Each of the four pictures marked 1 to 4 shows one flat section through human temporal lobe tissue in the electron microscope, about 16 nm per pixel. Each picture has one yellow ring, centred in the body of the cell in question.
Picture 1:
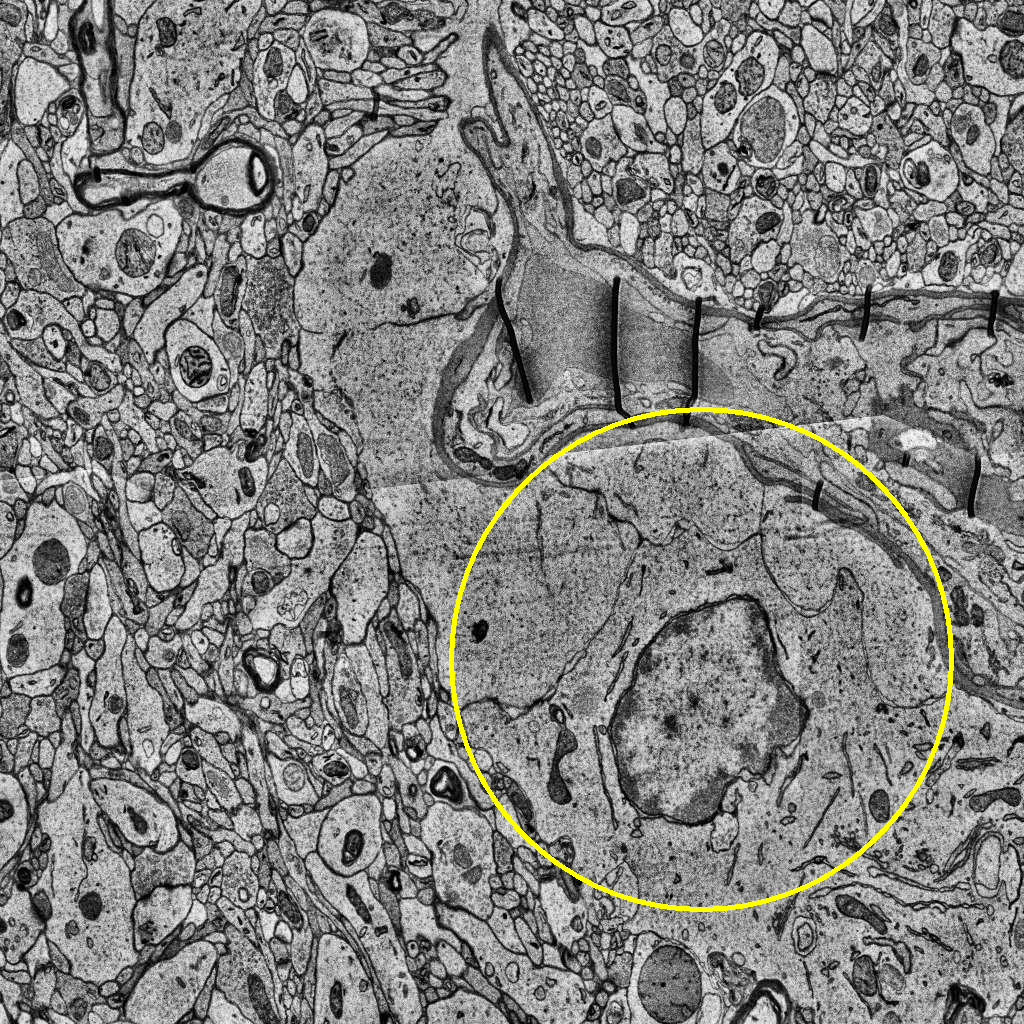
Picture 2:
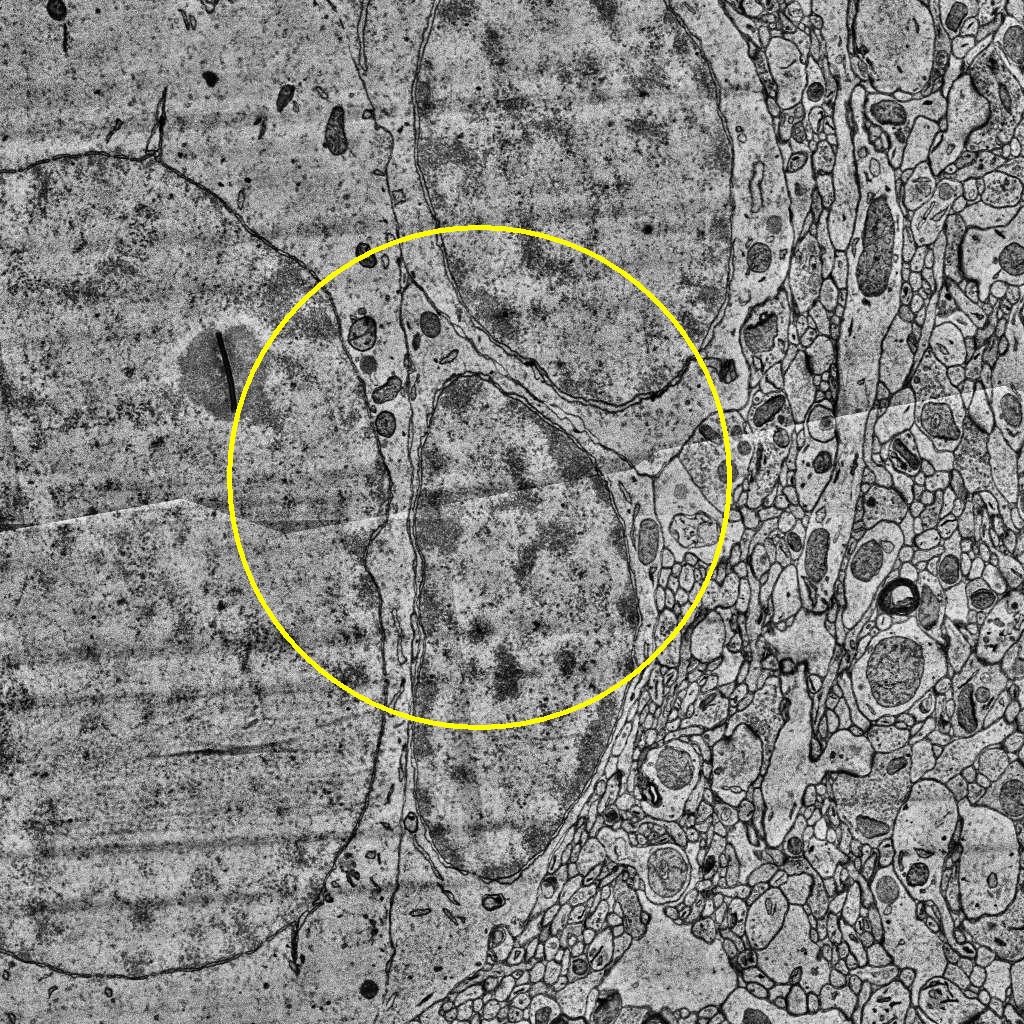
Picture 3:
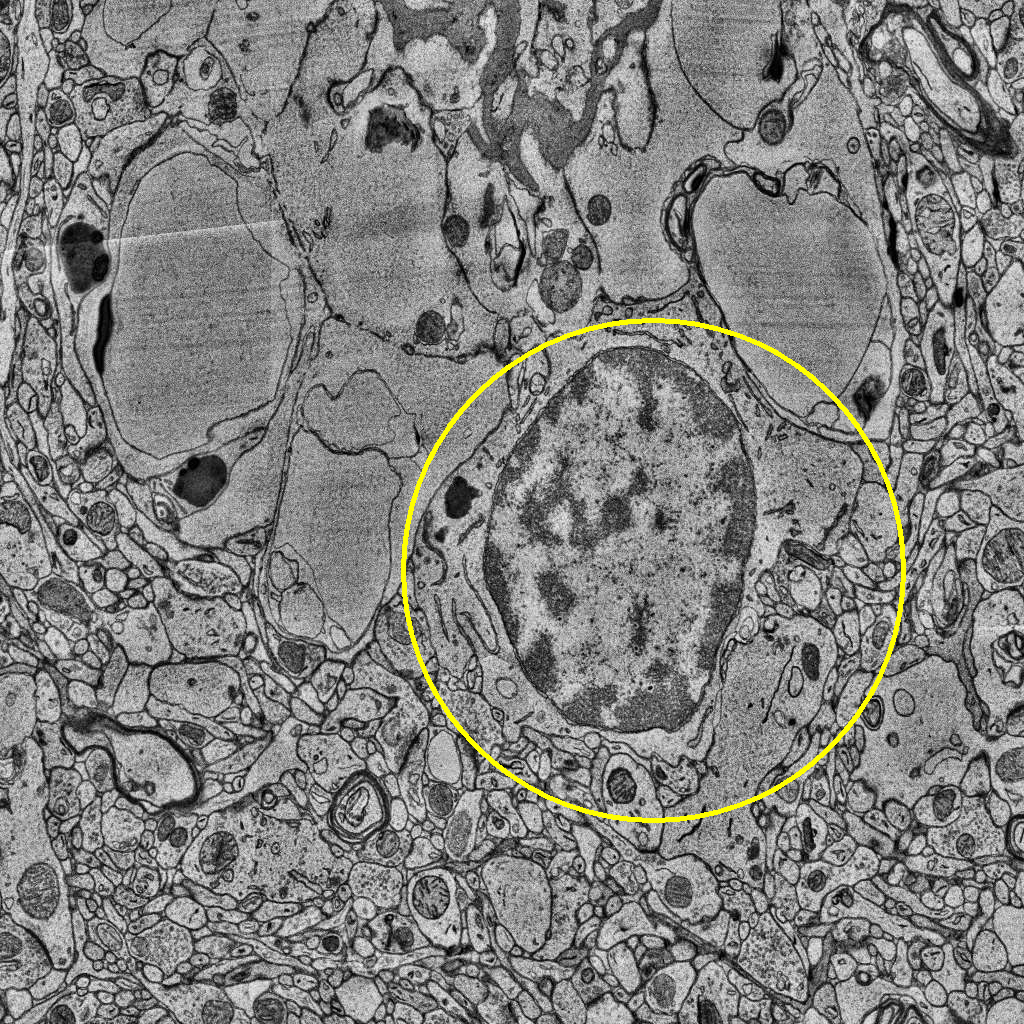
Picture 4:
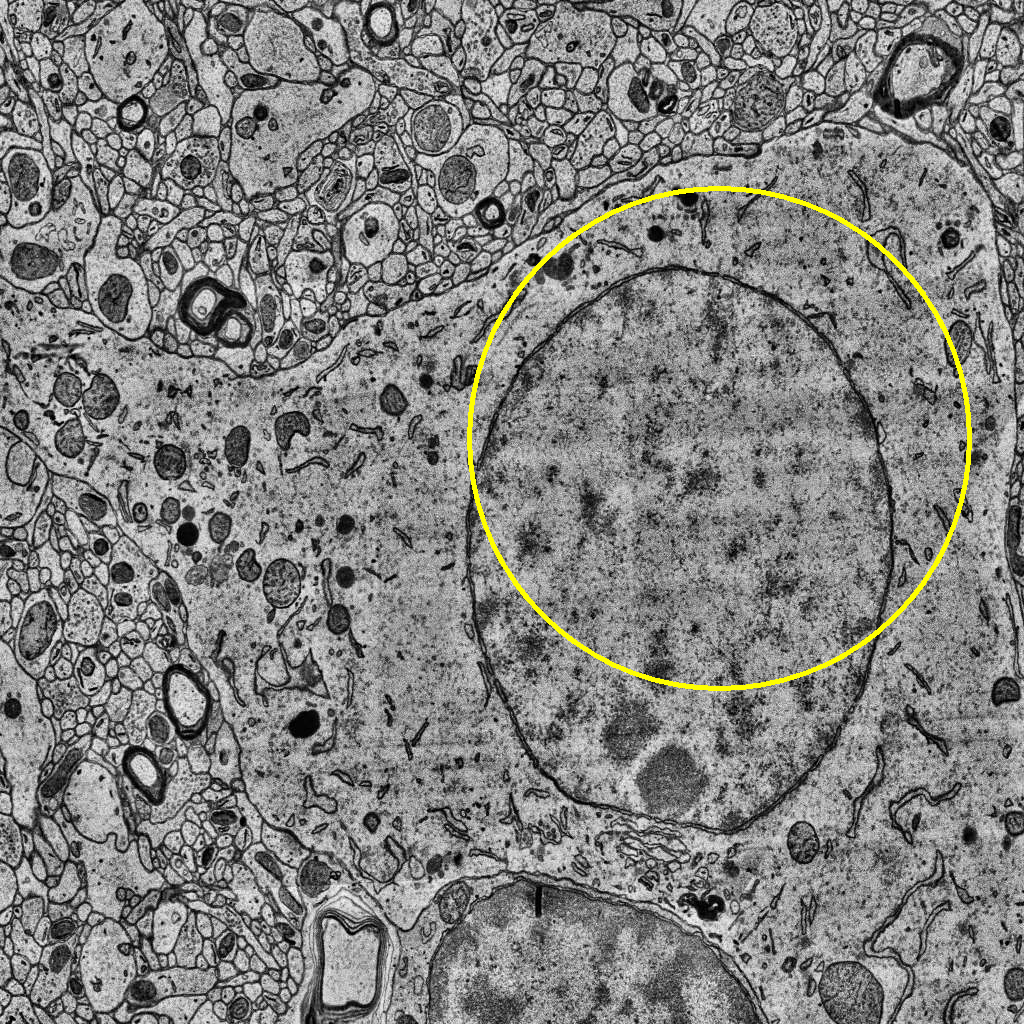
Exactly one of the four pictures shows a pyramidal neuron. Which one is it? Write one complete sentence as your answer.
Picture 4 shows the pyramidal neuron.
